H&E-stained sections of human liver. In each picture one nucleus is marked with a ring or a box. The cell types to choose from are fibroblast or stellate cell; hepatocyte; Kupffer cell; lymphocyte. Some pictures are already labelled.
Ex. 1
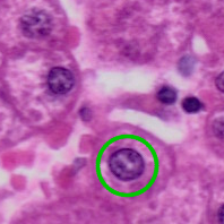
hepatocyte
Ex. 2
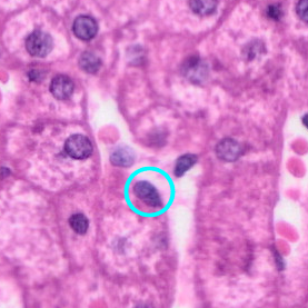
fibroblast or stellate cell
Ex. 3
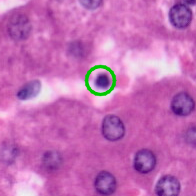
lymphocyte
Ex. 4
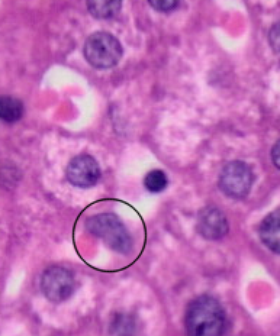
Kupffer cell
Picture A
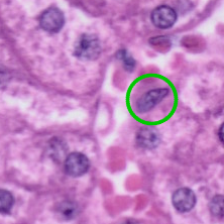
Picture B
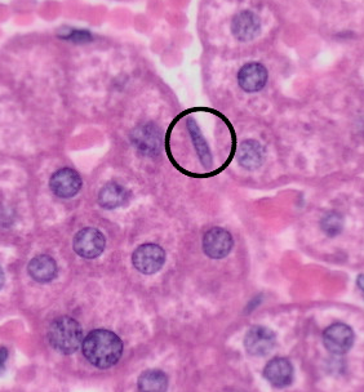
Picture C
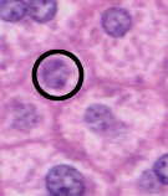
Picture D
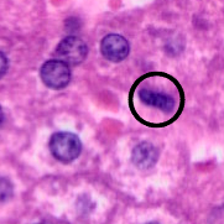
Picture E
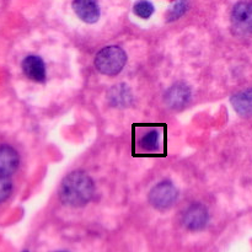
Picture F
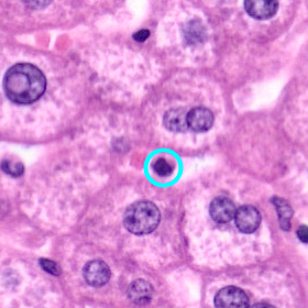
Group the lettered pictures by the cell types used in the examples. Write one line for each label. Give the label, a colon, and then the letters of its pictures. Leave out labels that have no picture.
fibroblast or stellate cell: D, E
hepatocyte: C
Kupffer cell: A, B
lymphocyte: F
